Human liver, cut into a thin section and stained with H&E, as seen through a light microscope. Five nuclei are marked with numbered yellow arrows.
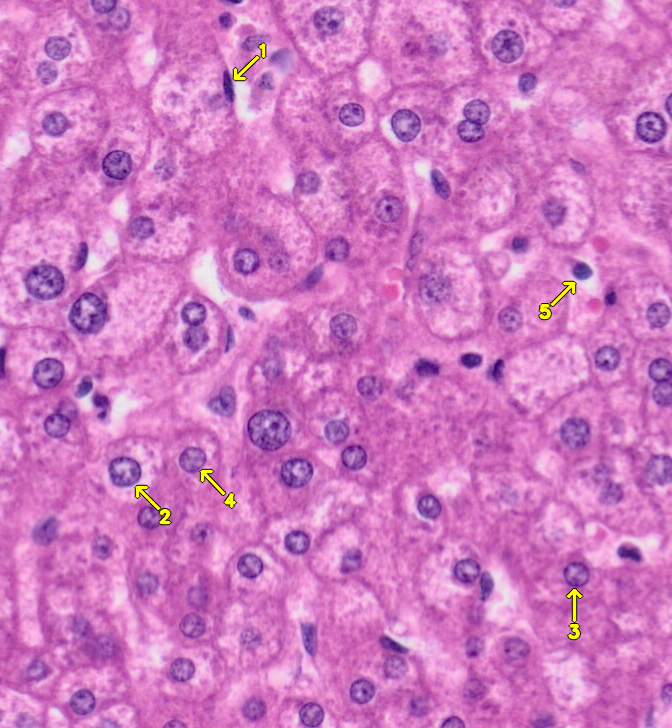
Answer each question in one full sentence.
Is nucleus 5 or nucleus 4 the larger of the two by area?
Nucleus 4 covers more area, about 2 times as much as nucleus 5.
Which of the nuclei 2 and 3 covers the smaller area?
Nucleus 3 covers less area, with nucleus 2 about 1.5 times as large.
